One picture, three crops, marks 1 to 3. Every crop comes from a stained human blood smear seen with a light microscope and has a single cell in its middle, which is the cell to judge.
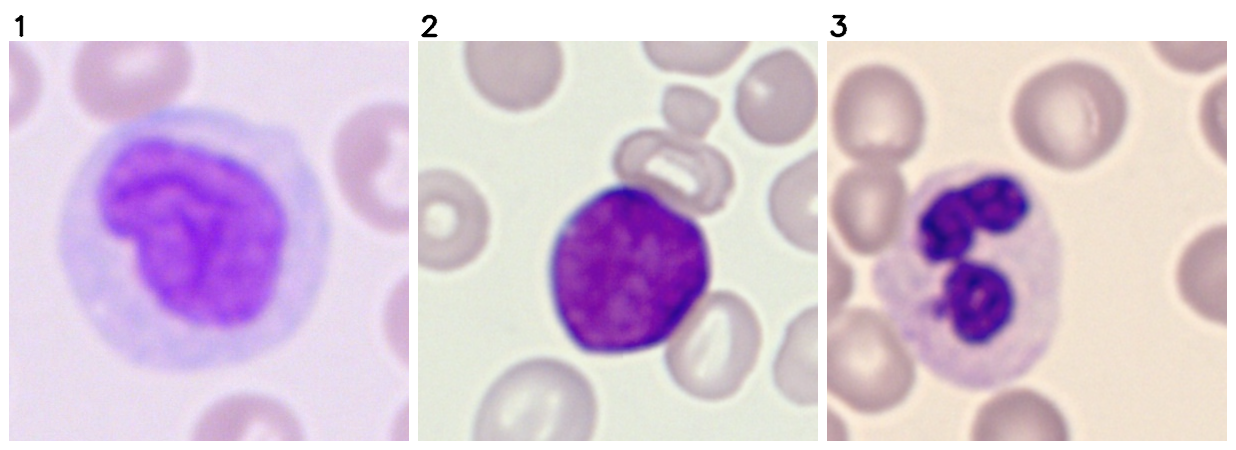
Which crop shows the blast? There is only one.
2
